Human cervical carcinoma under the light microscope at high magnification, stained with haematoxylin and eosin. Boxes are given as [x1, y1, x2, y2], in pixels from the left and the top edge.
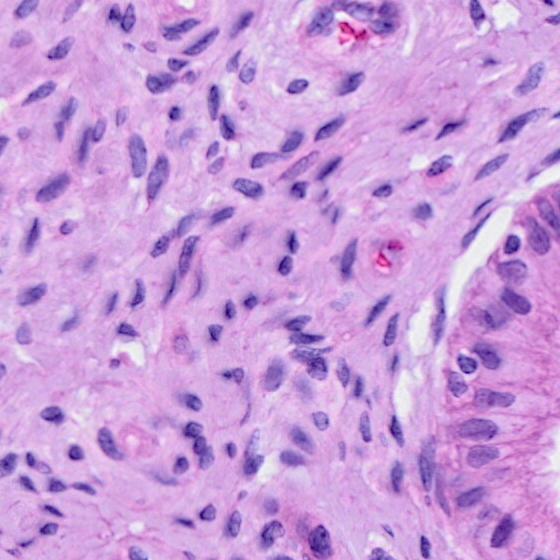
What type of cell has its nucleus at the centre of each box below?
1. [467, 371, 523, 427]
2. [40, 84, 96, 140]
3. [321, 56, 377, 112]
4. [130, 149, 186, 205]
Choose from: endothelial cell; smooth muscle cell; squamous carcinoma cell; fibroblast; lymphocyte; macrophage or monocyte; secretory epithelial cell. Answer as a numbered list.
1. secretory epithelial cell
2. fibroblast
3. fibroblast
4. fibroblast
